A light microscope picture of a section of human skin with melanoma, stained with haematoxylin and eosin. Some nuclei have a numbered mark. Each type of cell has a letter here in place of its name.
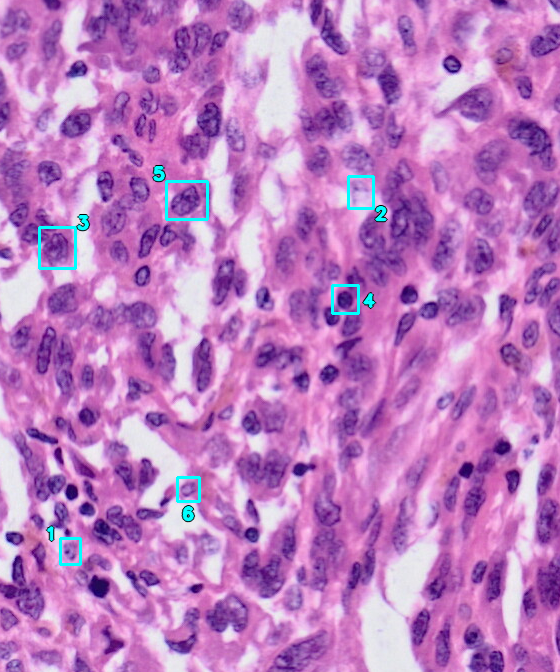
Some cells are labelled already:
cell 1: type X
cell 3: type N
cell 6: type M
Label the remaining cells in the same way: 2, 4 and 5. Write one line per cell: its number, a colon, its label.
2: type N
4: type X
5: type N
